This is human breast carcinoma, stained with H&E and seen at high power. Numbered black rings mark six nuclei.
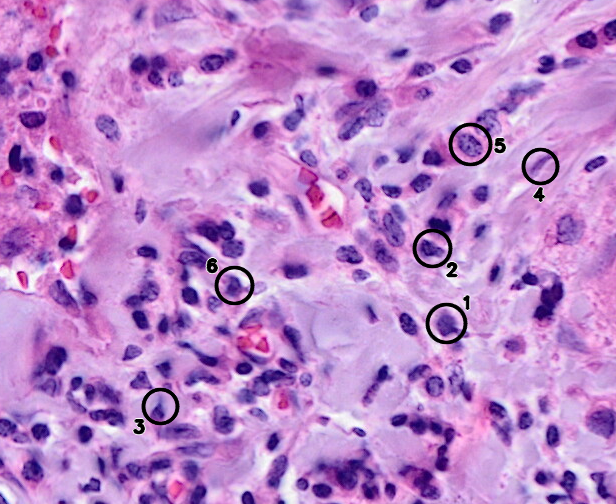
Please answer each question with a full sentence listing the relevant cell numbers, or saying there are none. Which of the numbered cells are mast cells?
Response: cell 5 is a mast cell, and no other numbered cell is.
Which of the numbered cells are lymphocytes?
In short, the numbered cells 1, 2, 3 and 6 are lymphocytes.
